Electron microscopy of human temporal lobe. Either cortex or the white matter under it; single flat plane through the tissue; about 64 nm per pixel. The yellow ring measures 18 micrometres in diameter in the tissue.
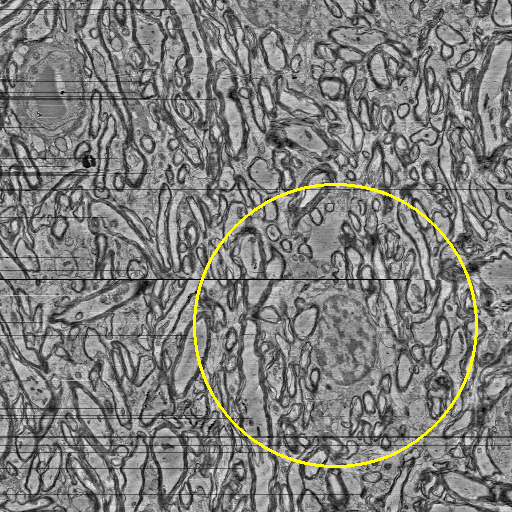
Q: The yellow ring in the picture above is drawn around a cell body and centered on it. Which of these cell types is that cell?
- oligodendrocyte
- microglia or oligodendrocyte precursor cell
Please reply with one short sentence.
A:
The cell body at the ring's center belongs to an oligodendrocyte.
